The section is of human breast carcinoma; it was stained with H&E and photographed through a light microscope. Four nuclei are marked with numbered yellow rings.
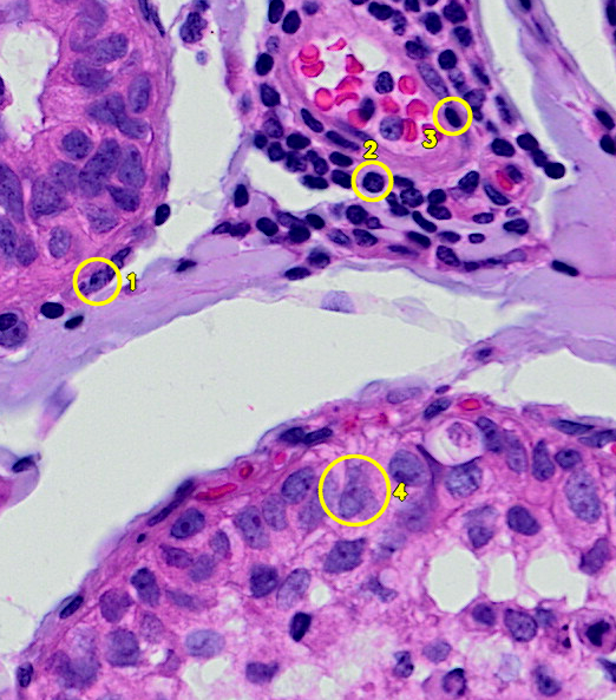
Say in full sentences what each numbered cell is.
Cell 1 is an endothelial cell. Cells 2 and 3 are lymphocytes. Cell 4 is a carcinoma cell.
